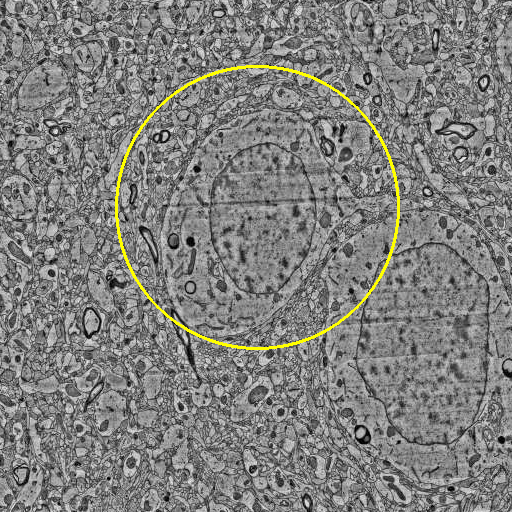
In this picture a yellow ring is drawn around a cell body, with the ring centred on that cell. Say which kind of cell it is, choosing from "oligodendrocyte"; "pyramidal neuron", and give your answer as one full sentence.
Here it is a pyramidal neuron that sits at the centre of the drawn yellow ring.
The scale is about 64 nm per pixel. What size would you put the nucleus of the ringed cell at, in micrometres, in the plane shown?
In this plane the nucleus spans approximately 10 by 7 micrometers.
